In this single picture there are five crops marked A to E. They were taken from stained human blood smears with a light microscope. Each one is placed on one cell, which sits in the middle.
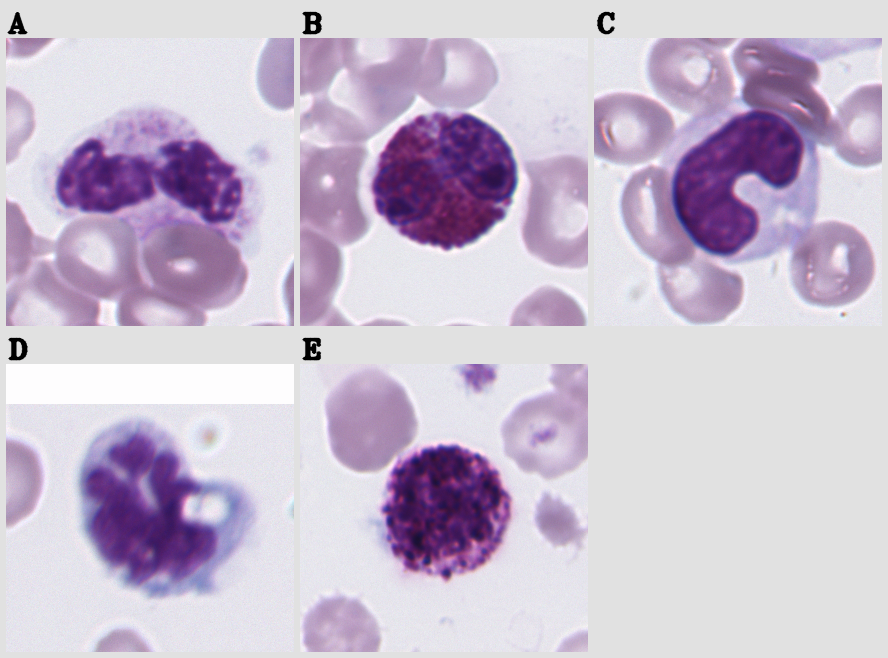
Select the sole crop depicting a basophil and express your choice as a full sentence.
Crop E is identified as the crop showing a basophil.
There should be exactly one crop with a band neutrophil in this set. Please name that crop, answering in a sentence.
Crop C is the crop featuring a band neutrophil at its center.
